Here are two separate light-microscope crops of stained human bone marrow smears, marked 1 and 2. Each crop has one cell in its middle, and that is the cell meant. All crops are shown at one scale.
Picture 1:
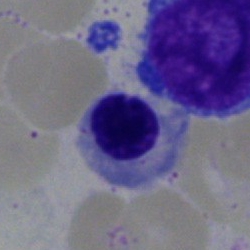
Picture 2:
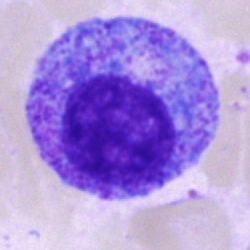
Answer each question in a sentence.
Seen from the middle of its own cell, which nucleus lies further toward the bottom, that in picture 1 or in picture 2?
In picture 2 the nucleus is shifted more toward the bottom.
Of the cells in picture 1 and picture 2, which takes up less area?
It is the cell in picture 1; the cell in picture 2 has about 3 times its area.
